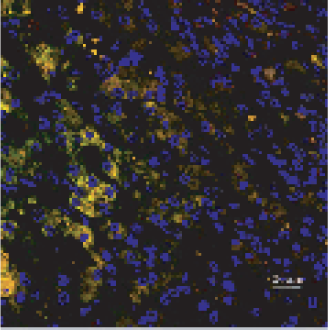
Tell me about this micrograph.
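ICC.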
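A fluorescence image of tumour tissue with many round blue nuclei spread across a dark background. Irregular groups of cells carry green and red signal, and in many places the two overlap to give yellow, lying around and between the blue-stained nuclei.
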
